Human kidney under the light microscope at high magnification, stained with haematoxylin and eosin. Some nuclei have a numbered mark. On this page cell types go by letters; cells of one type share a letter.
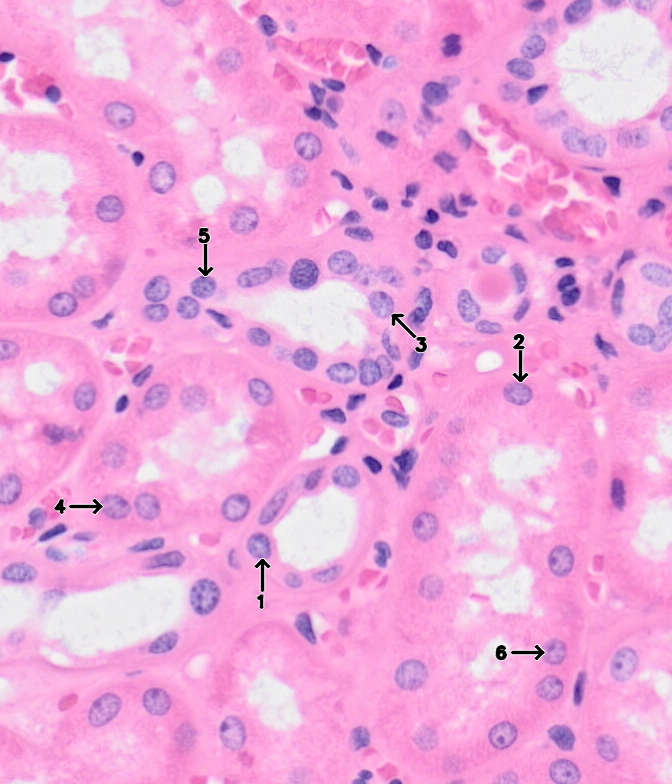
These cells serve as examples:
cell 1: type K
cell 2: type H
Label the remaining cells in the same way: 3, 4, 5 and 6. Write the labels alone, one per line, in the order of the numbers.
type K
type H
type K
type H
